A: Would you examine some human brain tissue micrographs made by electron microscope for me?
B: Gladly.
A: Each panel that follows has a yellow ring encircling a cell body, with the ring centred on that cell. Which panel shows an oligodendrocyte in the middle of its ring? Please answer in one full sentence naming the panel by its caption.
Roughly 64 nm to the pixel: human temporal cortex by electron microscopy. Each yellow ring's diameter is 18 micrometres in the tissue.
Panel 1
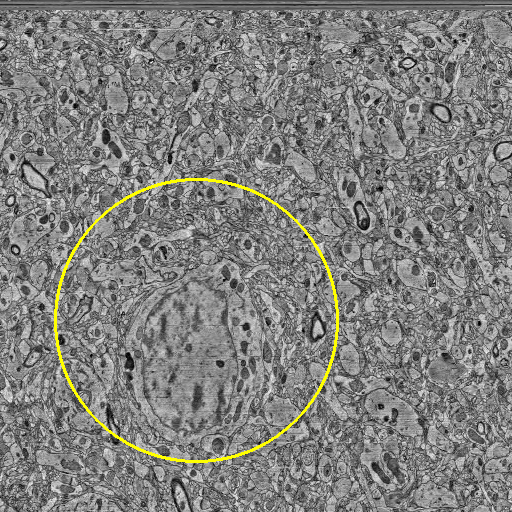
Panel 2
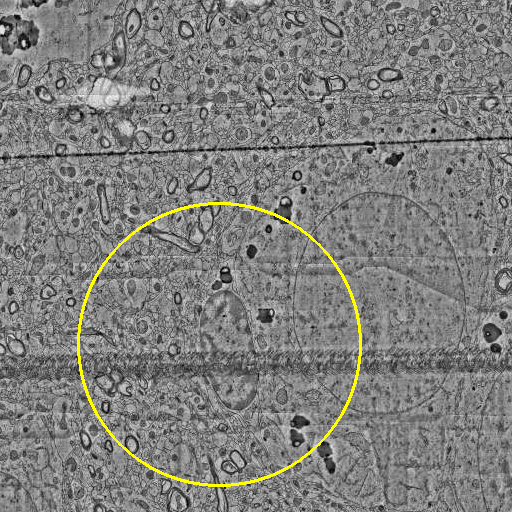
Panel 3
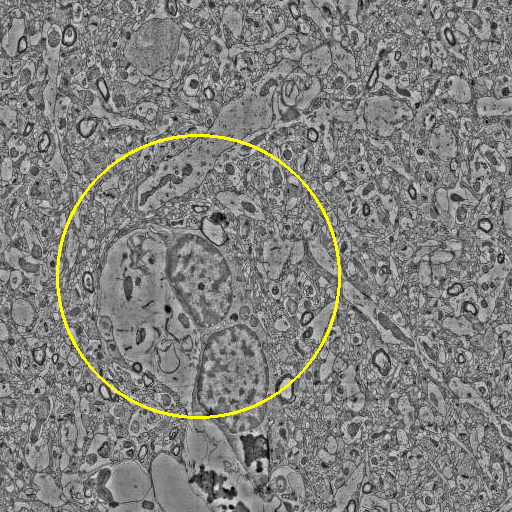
Panel 3 is where the ring sits centred on the requested cell.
